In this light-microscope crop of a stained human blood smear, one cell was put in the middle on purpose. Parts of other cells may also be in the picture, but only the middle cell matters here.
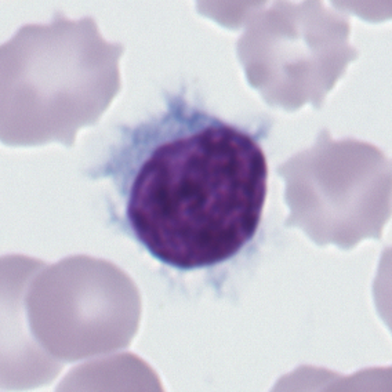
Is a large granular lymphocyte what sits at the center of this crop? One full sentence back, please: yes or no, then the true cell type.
No, the cell sitting in the middle is a hairy cell, and it is not a large granular lymphocyte.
